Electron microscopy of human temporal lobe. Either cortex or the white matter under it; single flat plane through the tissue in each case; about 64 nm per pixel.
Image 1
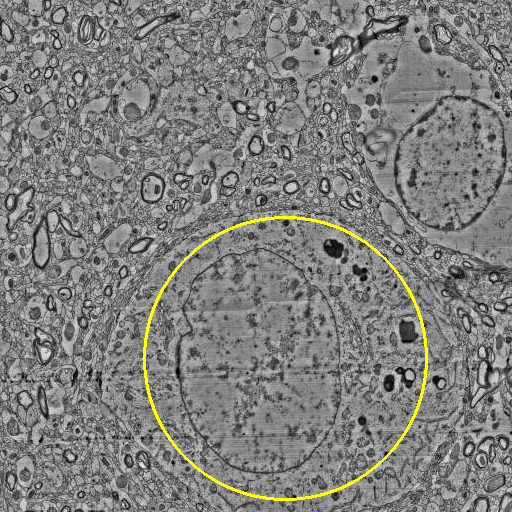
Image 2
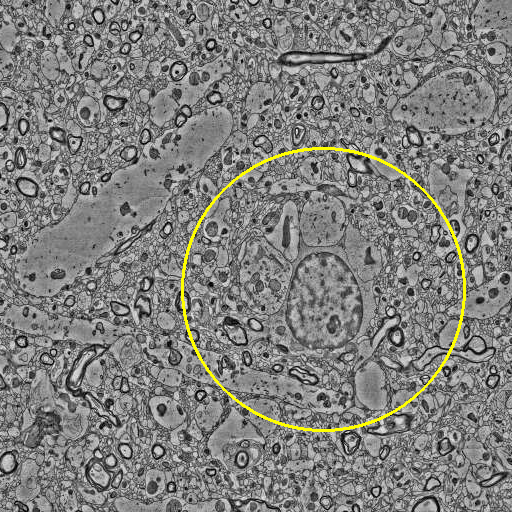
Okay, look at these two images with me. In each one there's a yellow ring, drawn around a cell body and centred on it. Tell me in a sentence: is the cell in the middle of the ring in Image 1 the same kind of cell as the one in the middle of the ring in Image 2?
No, they're two kinds of cell.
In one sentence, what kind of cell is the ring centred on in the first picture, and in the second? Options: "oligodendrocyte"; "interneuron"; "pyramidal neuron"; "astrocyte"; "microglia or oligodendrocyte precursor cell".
The cell at the centre of the second ring is an oligodendrocyte; the first ring's cell is a pyramidal neuron.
